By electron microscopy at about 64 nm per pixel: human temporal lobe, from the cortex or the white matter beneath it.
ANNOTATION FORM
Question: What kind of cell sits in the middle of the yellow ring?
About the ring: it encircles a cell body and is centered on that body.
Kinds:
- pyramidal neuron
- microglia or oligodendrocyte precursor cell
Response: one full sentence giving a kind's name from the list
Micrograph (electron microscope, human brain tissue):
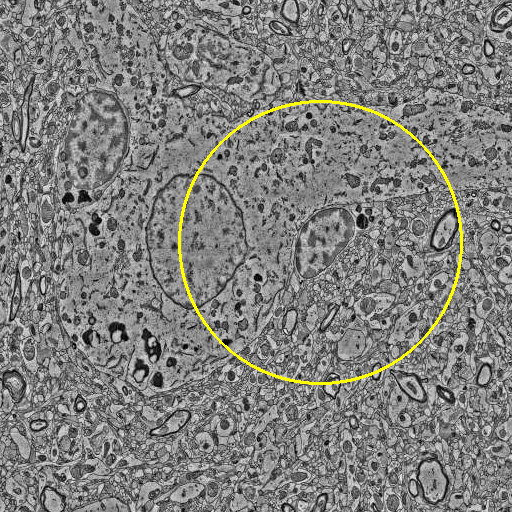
The kind of cell found at the center of the yellow ring in the micrograph is a microglial cell or oligodendrocyte precursor cell.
